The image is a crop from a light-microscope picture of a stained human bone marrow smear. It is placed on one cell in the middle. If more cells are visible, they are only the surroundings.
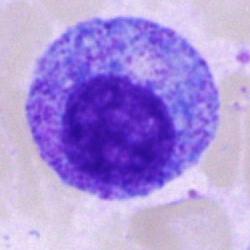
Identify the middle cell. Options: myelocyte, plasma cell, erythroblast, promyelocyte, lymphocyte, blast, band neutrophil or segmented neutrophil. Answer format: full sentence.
Whatever else lies nearby, the middle cell is a promyelocyte.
